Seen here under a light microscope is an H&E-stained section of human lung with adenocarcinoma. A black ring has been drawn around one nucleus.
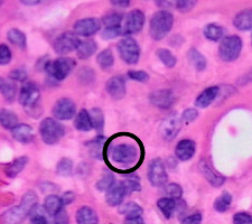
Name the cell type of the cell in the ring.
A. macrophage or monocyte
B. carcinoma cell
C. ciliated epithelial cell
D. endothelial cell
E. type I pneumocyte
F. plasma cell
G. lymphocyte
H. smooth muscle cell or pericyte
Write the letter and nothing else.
G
